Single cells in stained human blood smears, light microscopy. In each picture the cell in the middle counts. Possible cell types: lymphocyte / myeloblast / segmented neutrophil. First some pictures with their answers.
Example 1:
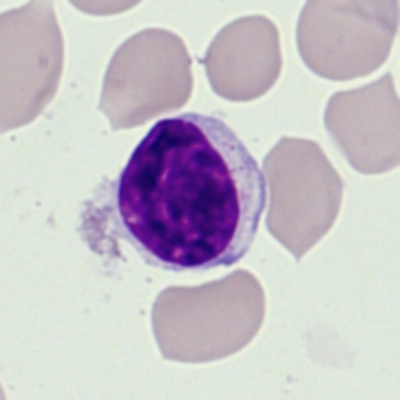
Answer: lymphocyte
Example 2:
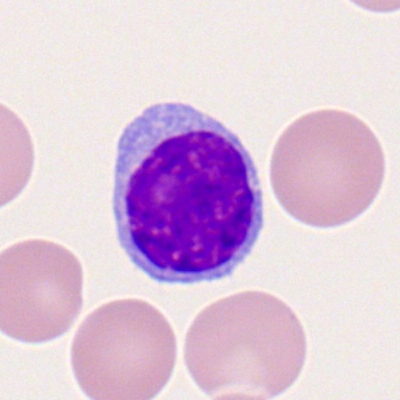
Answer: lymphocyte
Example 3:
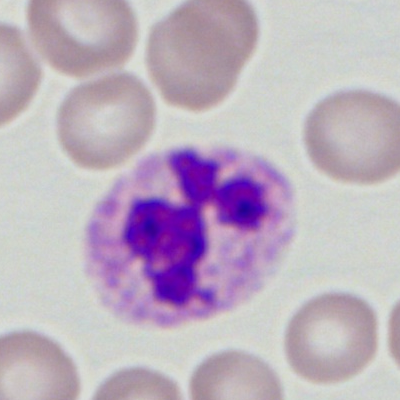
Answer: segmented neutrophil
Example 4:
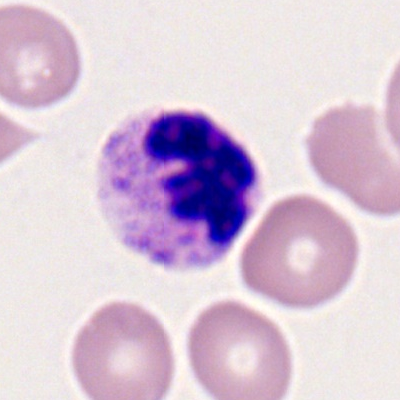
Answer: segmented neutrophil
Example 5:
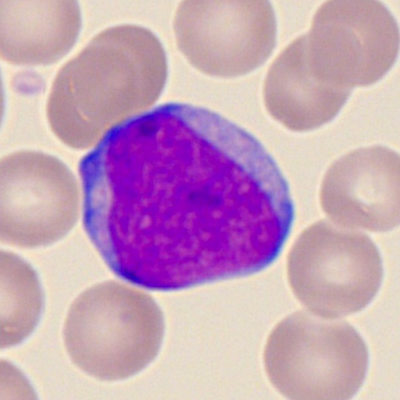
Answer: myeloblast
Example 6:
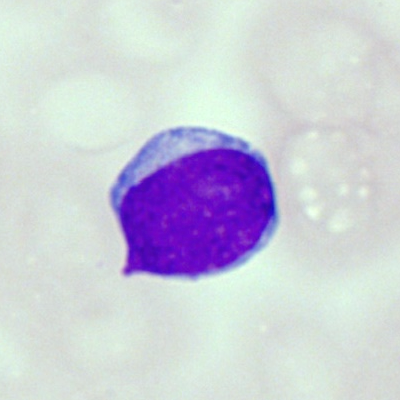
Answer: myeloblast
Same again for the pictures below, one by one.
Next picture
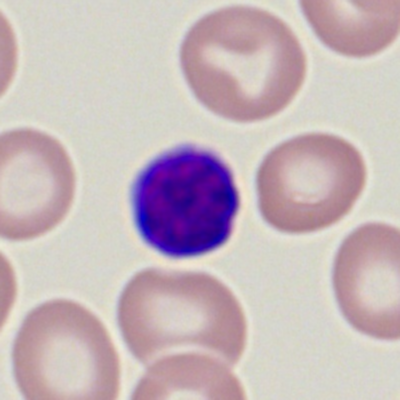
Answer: lymphocyte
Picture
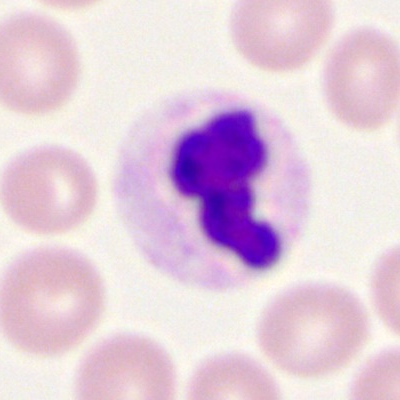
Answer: segmented neutrophil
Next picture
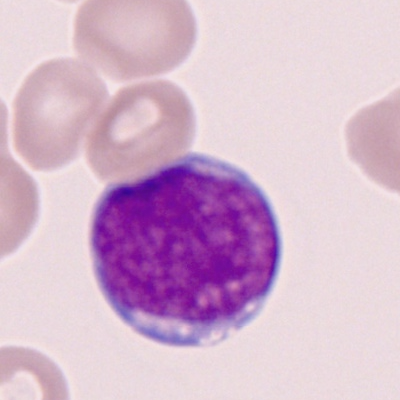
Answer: myeloblast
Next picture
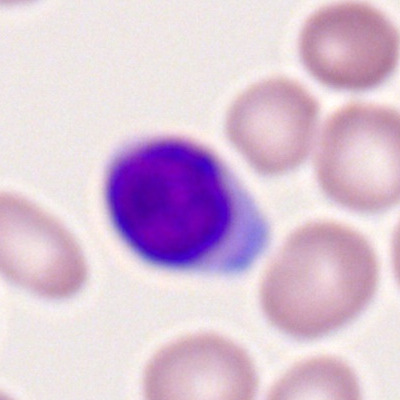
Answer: lymphocyte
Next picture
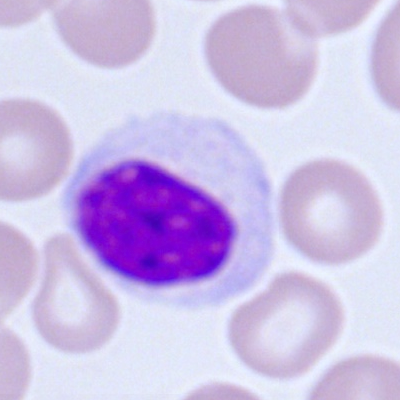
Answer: lymphocyte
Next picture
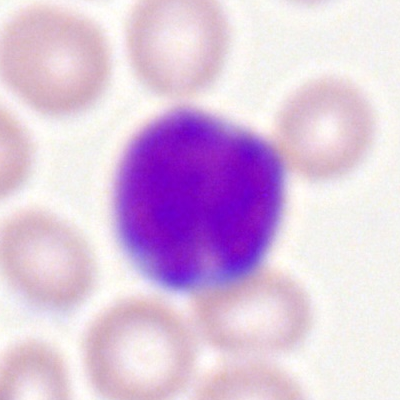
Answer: myeloblast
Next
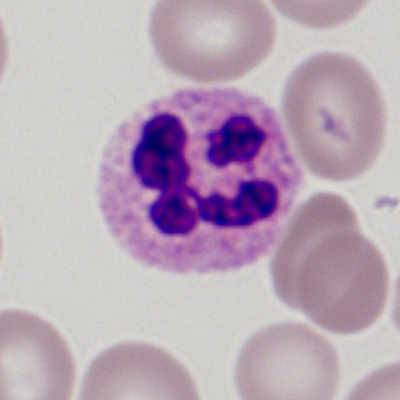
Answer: segmented neutrophil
